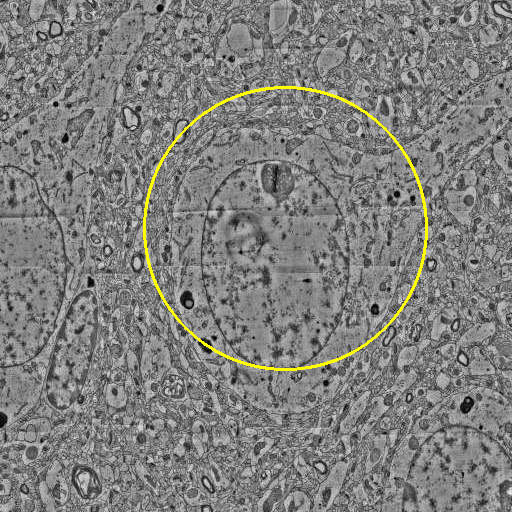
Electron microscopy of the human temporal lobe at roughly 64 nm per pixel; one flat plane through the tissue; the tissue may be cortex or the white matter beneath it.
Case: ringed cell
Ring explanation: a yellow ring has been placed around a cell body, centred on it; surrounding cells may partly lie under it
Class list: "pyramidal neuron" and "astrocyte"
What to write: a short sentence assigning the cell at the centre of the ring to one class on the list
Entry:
The cell at the ring's centre is a pyramidal neuron.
